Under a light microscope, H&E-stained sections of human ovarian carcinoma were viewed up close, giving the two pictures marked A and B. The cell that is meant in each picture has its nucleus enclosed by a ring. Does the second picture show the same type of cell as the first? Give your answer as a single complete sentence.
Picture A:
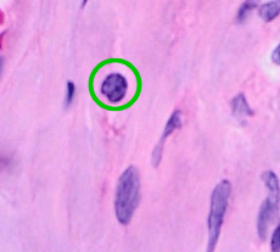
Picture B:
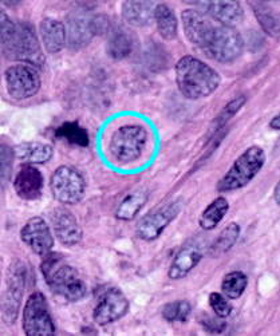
No, they differ: the cell is a lymphocyte in picture A and a “macrophage or monocyte” in picture B.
